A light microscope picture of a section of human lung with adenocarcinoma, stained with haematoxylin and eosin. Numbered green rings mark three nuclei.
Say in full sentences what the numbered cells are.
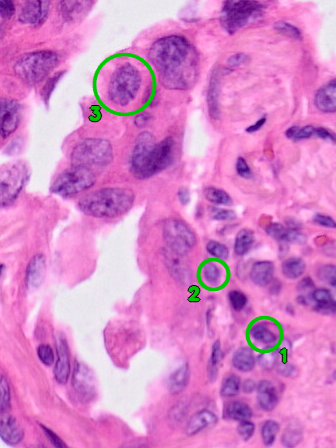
Cell 1 is a plasma cell, cell 2 is a lymphocyte and cell 3 is a carcinoma cell.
